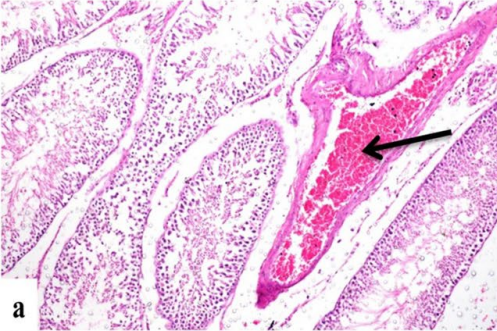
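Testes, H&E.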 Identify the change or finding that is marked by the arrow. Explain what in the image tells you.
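A wide elongated vessel between tubules is packed with red blood cells. The vessel lies in the space between seminiferous tubules. That points to this answer: congestion of interstitial blood vessels.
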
